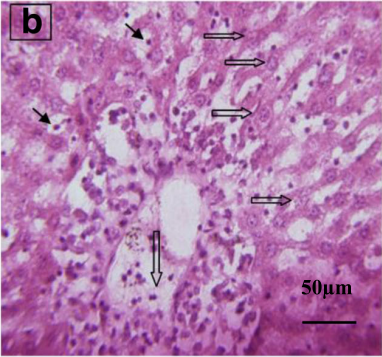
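This is damaged liver around central veins, where many small, dark, round nuclei of inflammatory cells crowd the area next to the vessels and spill between the hepatocyte cords. Near the veins the normal cord pattern is lost, with pale, disrupted regions where hepatocytes appear broken up, consistent with necrosis. Arrows of two styles mark points in the inflamed and injured areas.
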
